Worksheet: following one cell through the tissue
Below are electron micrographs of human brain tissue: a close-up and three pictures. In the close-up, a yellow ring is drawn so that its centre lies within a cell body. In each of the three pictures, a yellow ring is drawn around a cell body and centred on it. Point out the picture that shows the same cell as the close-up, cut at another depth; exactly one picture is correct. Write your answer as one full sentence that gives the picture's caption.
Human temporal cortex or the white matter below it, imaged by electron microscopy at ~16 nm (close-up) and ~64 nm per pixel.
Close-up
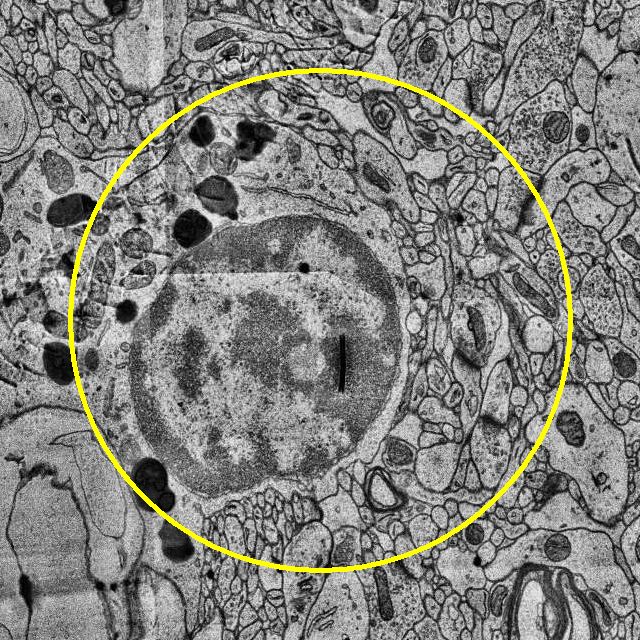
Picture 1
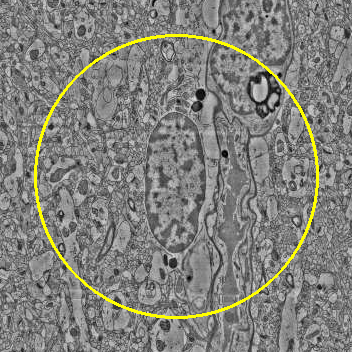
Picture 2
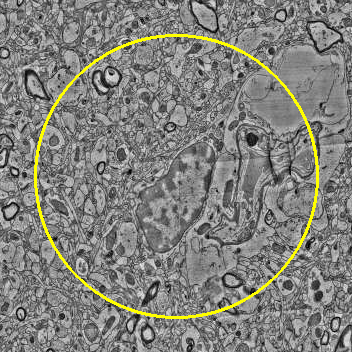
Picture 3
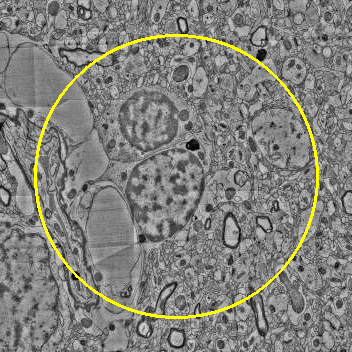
The close-up corresponds to the marked cell in Picture 3.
